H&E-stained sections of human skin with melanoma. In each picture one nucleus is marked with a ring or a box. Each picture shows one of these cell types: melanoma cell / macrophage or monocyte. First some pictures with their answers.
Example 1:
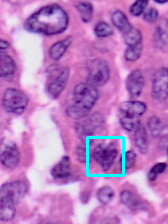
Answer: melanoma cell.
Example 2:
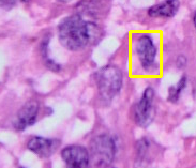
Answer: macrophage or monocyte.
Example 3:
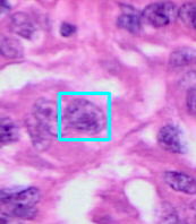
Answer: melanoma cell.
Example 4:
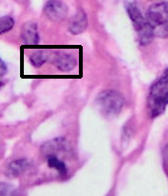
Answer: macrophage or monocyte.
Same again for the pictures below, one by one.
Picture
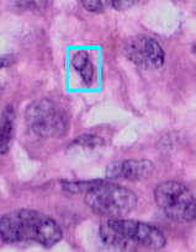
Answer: macrophage or monocyte.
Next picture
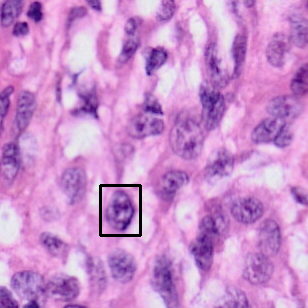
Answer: melanoma cell.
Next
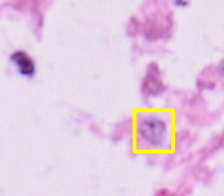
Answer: macrophage or monocyte.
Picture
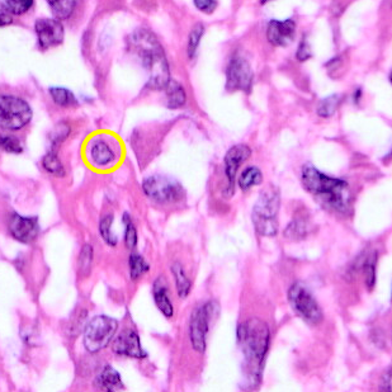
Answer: macrophage or monocyte.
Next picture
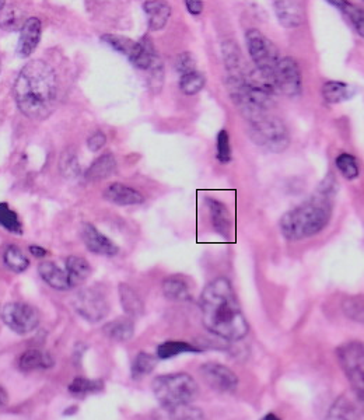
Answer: macrophage or monocyte.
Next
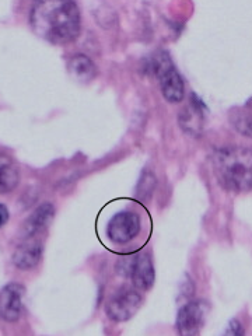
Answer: melanoma cell.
